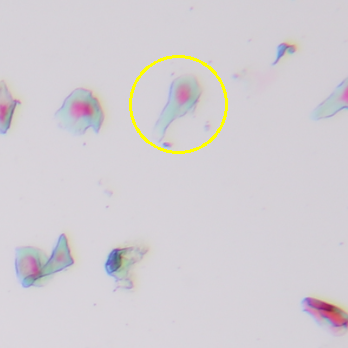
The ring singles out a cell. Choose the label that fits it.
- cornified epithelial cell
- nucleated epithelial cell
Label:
nucleated epithelial cell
